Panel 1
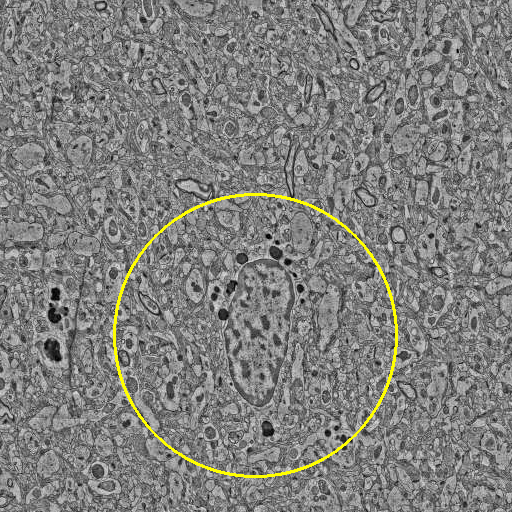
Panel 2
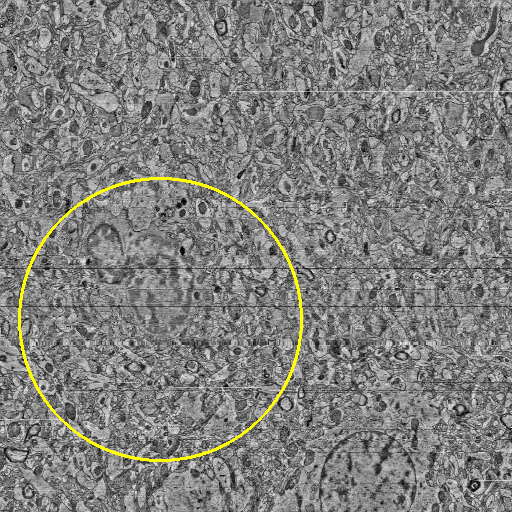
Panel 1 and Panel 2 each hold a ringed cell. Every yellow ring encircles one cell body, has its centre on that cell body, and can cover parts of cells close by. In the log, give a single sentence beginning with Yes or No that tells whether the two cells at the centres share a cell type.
No, in Panel 1 and Panel 2 the centred cells are of two cell types.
